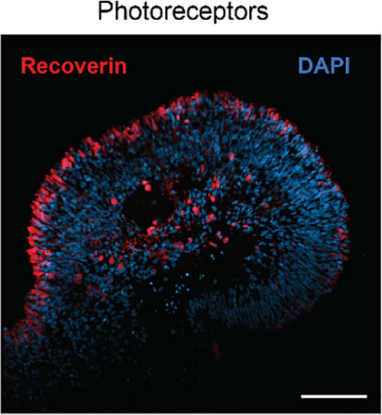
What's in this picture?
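Blue nuclei are densely packed and many are elongated, lying in radial columns perpendicular to the curved outer edge. Fewer red cells are scattered deeper within the epithelium. Toward the interior the tissue contains darker, cell-poor spaces among the nuclei.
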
